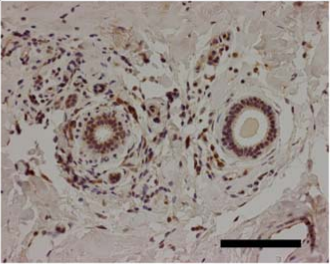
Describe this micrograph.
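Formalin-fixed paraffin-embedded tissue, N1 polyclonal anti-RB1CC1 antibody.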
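Non-neoplastic mammary ductal epithelium: two small ducts cut across, each an open round lumen lined by a ring of cuboidal epithelial cells. The epithelial nuclei and cytoplasm are stained brown, and the ducts lie in a cellular loose stroma with scattered brown nuclei, surrounded by paler fibrous tissue.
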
